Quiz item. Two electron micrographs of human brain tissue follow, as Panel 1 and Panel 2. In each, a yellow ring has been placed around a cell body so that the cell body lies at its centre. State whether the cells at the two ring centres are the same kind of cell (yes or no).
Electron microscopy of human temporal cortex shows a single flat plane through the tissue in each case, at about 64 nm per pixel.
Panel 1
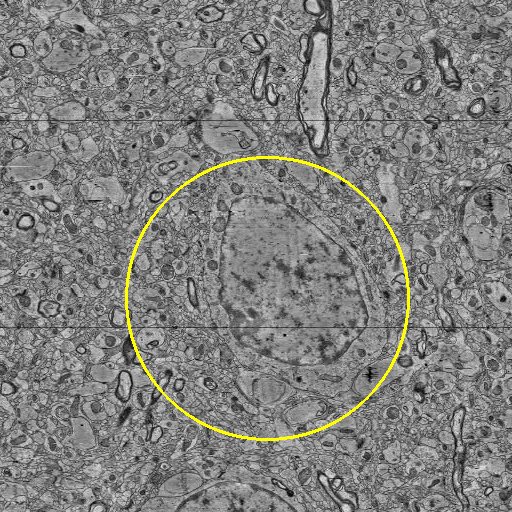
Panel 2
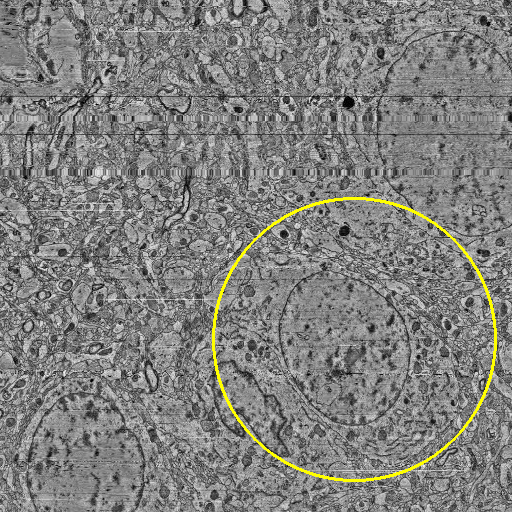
no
